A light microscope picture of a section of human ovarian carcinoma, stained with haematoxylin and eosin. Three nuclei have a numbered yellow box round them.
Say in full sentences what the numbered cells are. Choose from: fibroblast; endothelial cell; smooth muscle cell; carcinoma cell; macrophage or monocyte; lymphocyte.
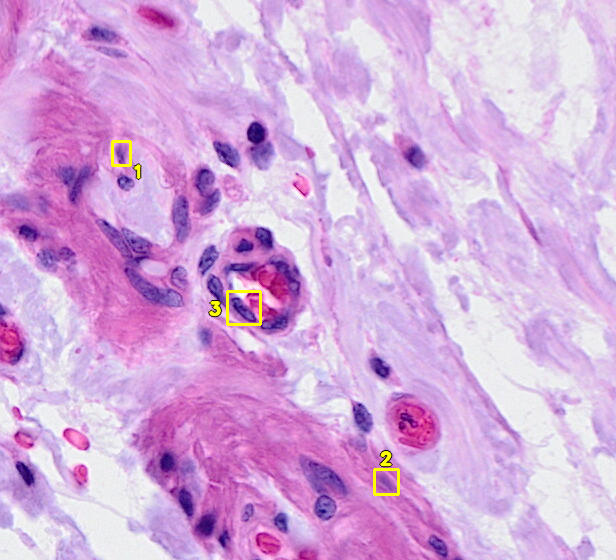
Cells 1 and 3 are endothelial cells. Cell 2 is a smooth muscle cell.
